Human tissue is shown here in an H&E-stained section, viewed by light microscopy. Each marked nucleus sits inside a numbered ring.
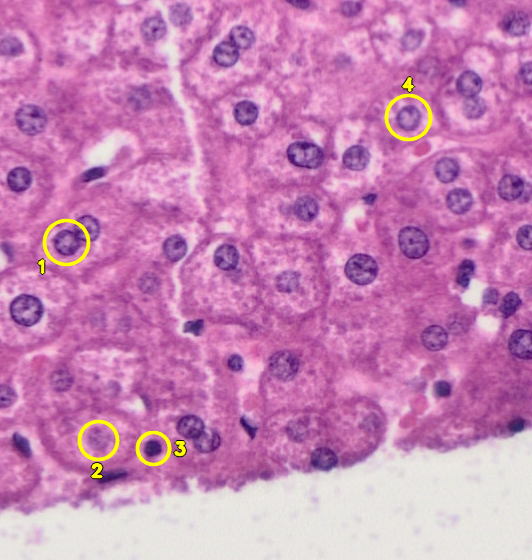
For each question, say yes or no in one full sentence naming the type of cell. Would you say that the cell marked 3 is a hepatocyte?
No, the cell under number 3 is a lymphocyte instead of a hepatocyte.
